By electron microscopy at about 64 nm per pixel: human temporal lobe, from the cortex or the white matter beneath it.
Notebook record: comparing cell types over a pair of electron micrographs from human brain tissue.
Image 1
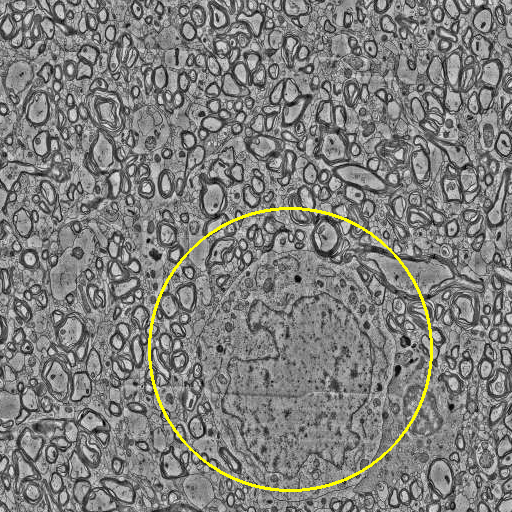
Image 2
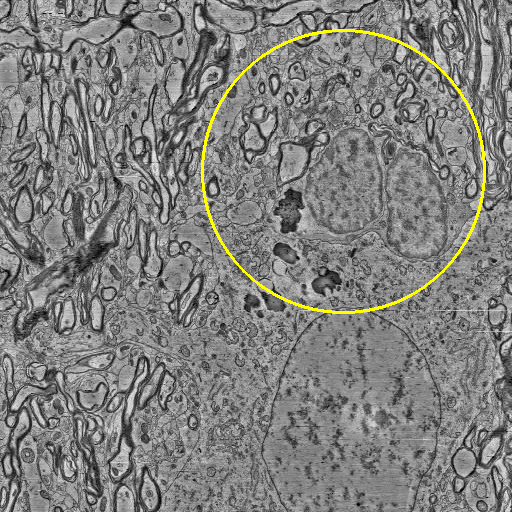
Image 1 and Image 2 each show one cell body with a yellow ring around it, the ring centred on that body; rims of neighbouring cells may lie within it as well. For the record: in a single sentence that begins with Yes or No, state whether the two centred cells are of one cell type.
No, two cell types are found among the centred cells of Image 1 and Image 2.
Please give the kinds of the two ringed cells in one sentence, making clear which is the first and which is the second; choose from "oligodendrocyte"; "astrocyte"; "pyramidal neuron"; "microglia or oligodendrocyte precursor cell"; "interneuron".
In the second picture the ringed cell is an oligodendrocyte; in the first it is an interneuron.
